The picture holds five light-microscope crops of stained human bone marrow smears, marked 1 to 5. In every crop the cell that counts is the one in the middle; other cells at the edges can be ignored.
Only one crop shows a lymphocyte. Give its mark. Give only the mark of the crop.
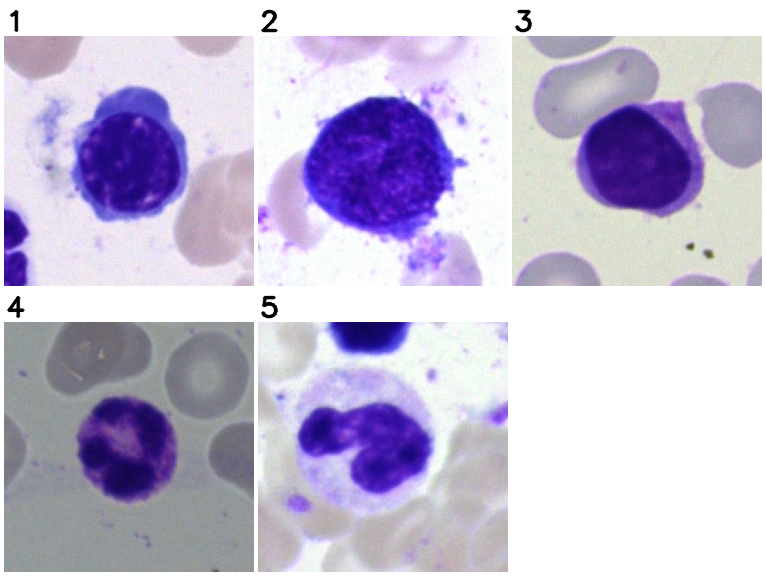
3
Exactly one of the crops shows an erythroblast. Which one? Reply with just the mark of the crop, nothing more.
1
